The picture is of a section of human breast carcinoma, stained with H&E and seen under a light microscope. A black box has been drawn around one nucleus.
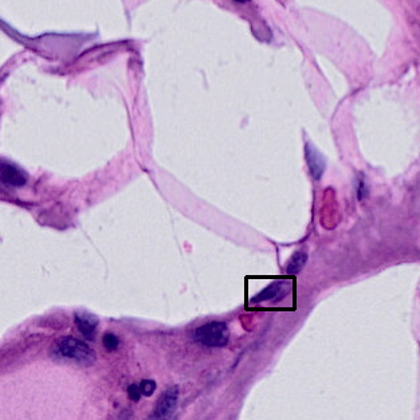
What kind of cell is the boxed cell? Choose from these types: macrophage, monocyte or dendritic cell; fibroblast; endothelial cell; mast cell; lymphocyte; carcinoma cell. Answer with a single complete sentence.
In this field of tissue, the boxed cell is an endothelial cell.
